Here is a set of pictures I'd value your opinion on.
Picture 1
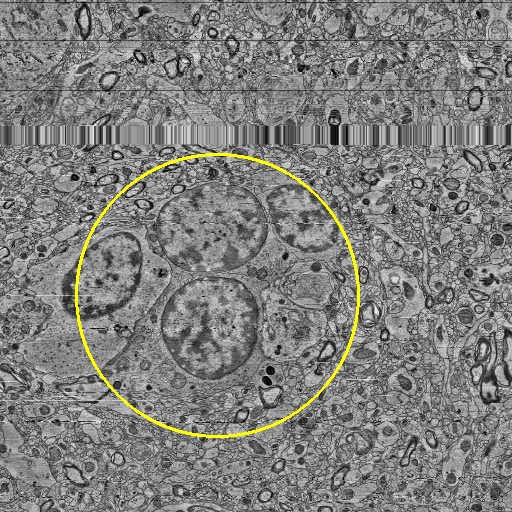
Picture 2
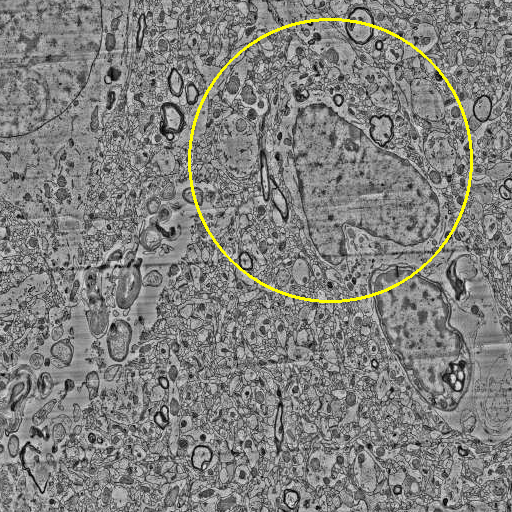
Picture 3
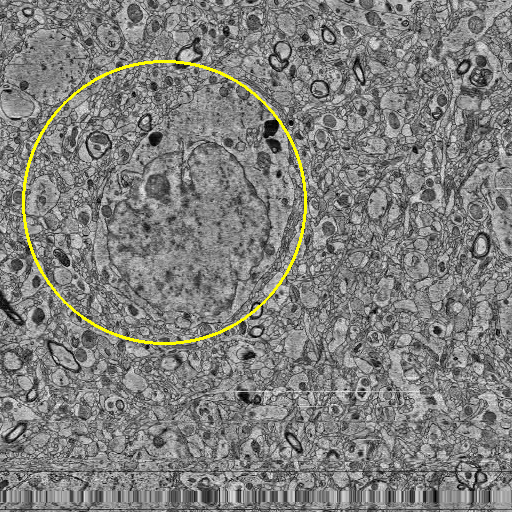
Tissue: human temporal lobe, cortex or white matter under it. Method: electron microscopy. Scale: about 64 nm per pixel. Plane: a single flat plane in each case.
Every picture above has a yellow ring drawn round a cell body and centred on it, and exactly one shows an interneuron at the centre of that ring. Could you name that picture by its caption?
Picture 3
